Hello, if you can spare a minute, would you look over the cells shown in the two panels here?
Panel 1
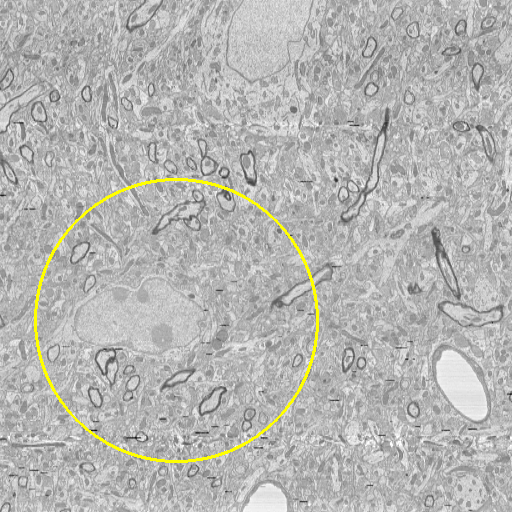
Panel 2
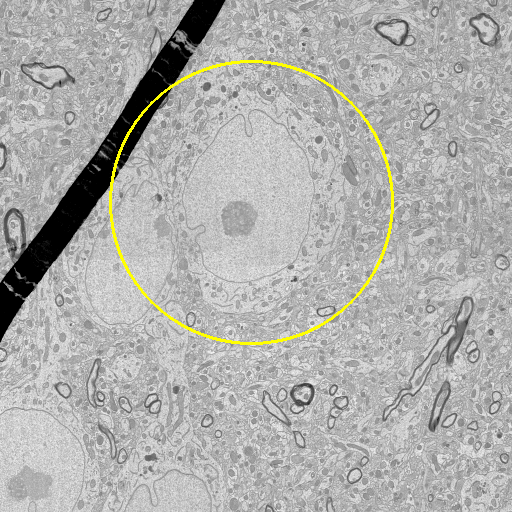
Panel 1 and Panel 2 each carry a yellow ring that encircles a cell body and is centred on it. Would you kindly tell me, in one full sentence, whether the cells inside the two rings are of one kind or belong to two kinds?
The cells at the centres of the rings in Panel 1 and Panel 2 belong to two kinds.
